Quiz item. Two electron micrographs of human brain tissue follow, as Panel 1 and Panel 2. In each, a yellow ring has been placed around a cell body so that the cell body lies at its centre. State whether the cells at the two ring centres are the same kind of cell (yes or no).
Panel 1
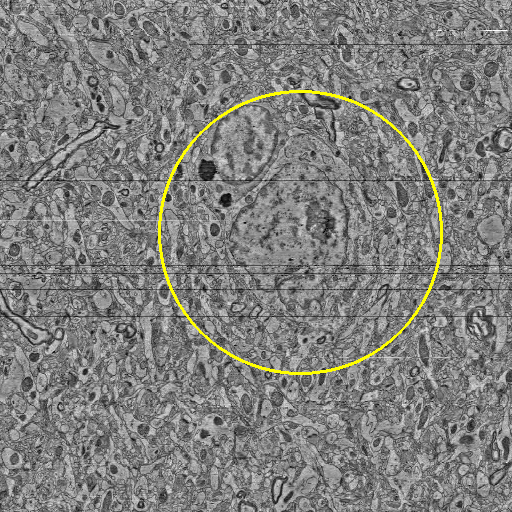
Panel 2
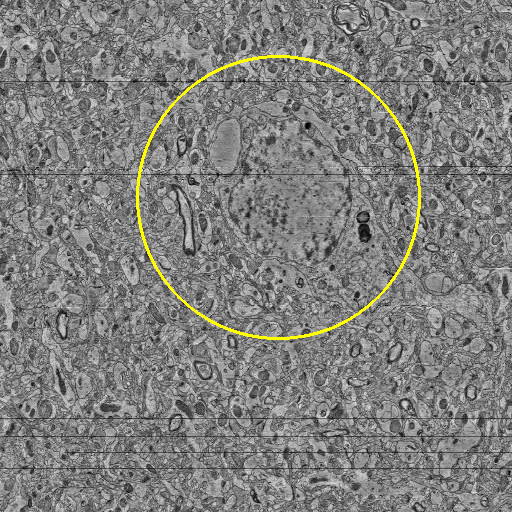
yes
